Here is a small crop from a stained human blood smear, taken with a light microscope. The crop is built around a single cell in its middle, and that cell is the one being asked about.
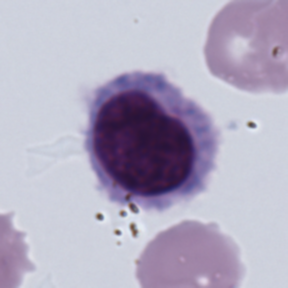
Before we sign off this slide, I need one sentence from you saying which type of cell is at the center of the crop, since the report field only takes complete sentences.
Present in the middle of the crop is a hairy cell.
